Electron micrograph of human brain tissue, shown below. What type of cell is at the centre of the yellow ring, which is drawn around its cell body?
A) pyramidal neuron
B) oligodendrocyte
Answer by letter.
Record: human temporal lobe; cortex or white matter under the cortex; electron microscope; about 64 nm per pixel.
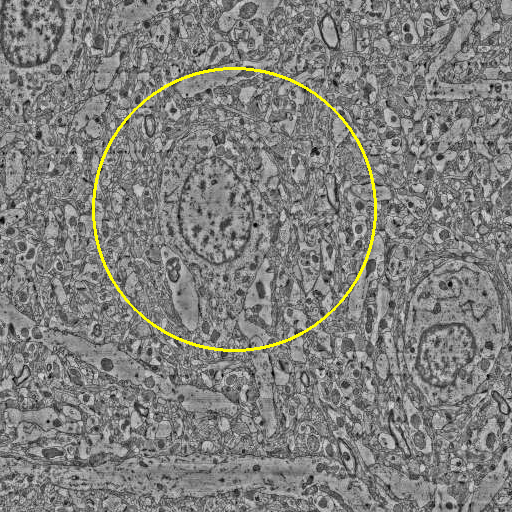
A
